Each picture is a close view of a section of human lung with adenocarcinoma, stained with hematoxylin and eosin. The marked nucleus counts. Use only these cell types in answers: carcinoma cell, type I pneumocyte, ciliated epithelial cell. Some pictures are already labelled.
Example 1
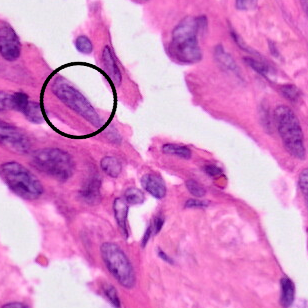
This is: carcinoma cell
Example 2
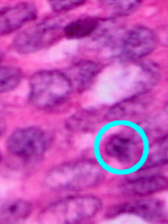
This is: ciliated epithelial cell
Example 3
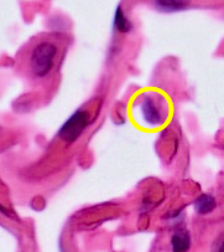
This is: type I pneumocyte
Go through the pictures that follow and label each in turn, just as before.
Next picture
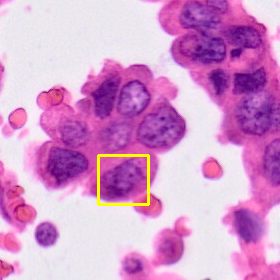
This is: carcinoma cell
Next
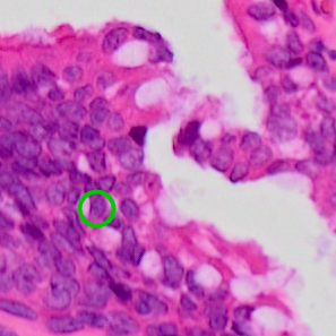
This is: ciliated epithelial cell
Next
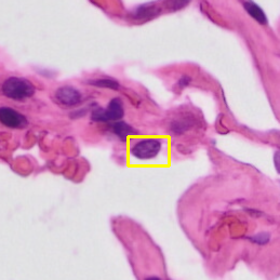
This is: type I pneumocyte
